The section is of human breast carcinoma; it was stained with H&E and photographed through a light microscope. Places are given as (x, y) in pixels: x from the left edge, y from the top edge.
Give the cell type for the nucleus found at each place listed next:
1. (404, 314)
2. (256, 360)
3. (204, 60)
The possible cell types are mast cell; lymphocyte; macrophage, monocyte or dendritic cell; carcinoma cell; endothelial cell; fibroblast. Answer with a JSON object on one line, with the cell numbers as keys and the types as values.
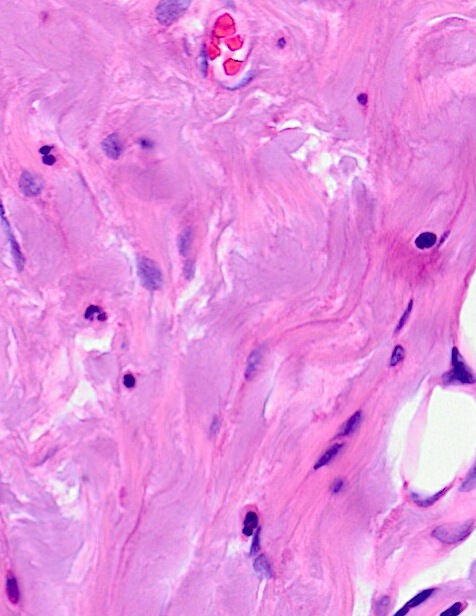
{"1": "fibroblast", "2": "fibroblast", "3": "endothelial cell"}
